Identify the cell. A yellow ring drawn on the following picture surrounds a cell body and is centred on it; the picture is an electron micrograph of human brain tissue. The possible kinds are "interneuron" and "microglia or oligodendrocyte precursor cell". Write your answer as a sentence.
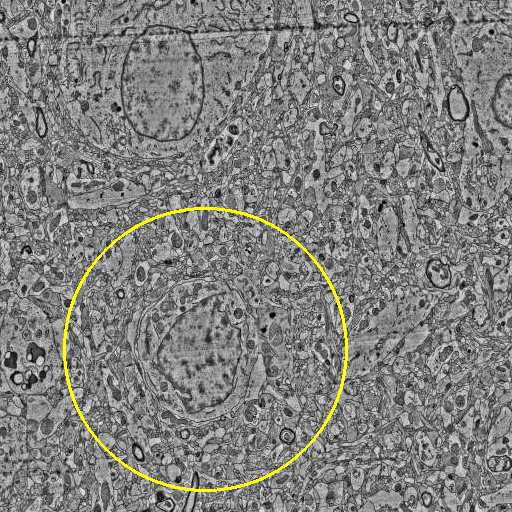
The cell identified by the ring is an interneuron.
